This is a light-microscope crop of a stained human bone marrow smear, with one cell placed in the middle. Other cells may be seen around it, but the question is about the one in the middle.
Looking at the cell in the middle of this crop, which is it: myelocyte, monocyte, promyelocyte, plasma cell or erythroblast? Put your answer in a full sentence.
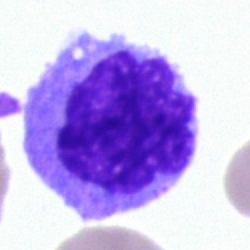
The centered cell in this crop is a monocyte.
